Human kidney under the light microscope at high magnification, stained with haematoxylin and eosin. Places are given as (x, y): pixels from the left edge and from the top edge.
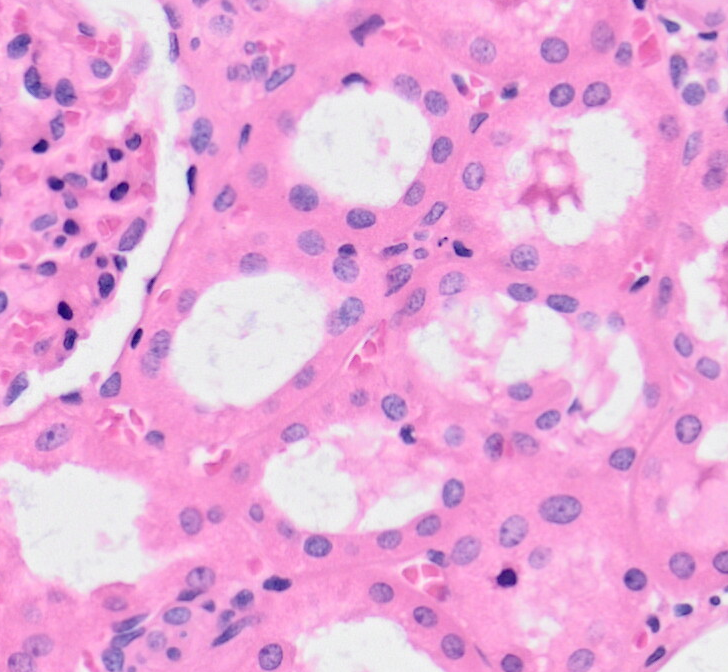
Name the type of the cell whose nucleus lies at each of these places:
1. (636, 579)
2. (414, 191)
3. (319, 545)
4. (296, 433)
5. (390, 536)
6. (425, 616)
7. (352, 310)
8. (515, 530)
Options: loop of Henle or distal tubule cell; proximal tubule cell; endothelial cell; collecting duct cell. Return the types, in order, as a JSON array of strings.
["proximal tubule cell", "loop of Henle or distal tubule cell", "loop of Henle or distal tubule cell", "loop of Henle or distal tubule cell", "loop of Henle or distal tubule cell", "proximal tubule cell", "loop of Henle or distal tubule cell", "proximal tubule cell"]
